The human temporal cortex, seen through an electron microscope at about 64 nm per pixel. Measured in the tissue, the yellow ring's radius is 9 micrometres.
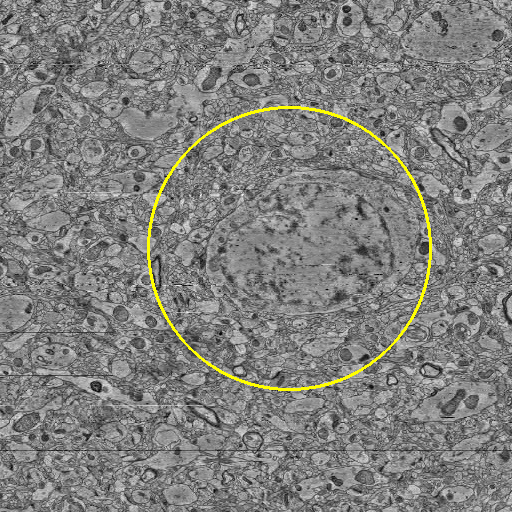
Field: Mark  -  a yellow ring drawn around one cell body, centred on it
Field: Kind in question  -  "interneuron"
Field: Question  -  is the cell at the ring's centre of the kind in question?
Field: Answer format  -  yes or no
yes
